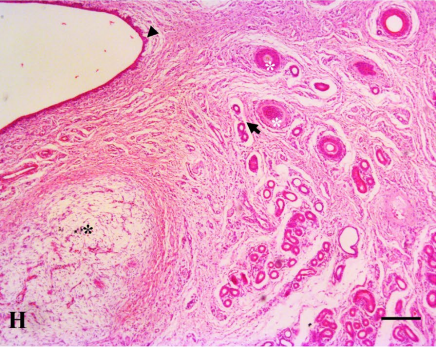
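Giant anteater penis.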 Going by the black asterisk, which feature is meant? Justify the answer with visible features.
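The black asterisk lies in a pale, loosely textured oval area. The area sits beside a large empty lumen lined by a thin layer.
Conclusion: erectile bodies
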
